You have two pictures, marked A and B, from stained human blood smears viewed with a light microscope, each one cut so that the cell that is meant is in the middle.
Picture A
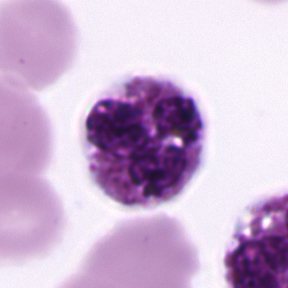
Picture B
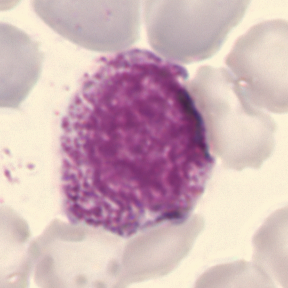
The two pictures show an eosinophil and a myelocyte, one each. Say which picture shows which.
A: eosinophil
B: myelocyte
